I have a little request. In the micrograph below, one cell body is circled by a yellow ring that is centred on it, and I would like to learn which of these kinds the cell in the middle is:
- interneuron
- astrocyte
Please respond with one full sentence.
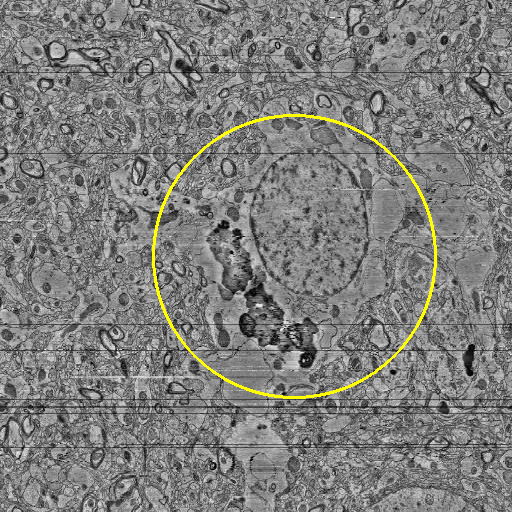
The cell sitting in the middle of the yellow ring in the micrograph is an astrocyte.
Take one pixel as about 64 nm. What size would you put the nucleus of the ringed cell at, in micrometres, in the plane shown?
The nucleus is approximately 10 micrometers long by 8 micrometers wide in this plane.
